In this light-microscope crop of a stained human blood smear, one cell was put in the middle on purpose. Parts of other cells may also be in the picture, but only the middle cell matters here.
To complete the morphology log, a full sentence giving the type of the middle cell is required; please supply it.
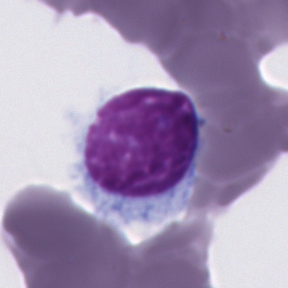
Classification of the middle cell gives a hairy cell.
